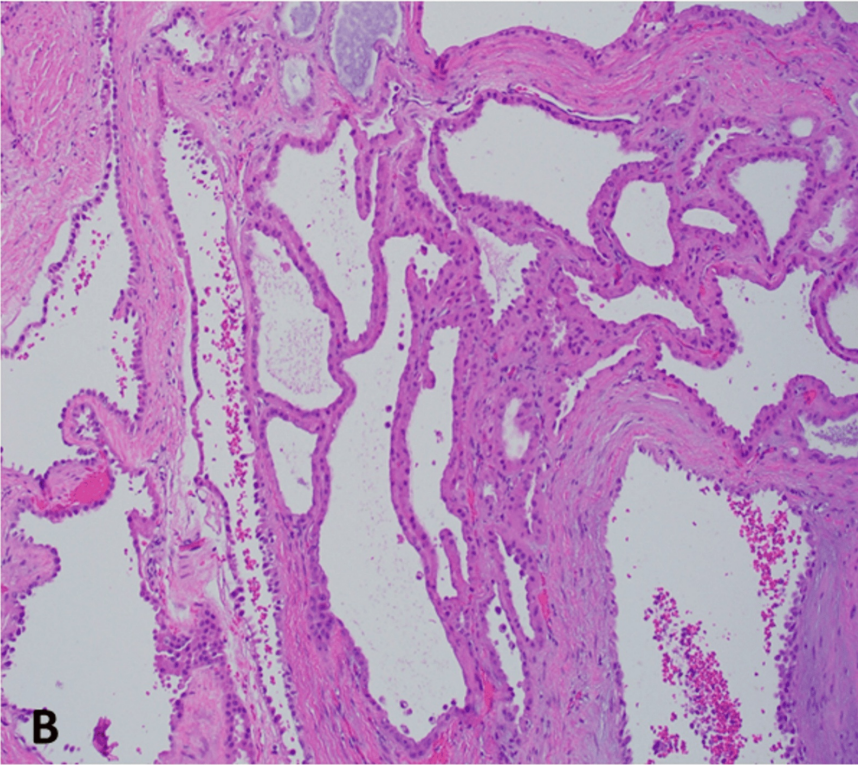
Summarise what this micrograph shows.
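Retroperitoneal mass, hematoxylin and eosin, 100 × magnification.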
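Tissue with a tubulocystic pattern: closely packed tubules and cysts of widely varying size, many dilated and irregular, each lined by a single layer of cuboidal to flattened epithelial cells with pink cytoplasm and small dark purple nuclei. Lumina are largely clear, some holding pale pink fluid or clusters of red blood cells; a few small tubules at the upper edge contain pale blue-grey material. The spaces are separated by pink fibrous stroma of variable thickness, from thin delicate septa to broad compact bands. No solid sheets of cells are seen in this field.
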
